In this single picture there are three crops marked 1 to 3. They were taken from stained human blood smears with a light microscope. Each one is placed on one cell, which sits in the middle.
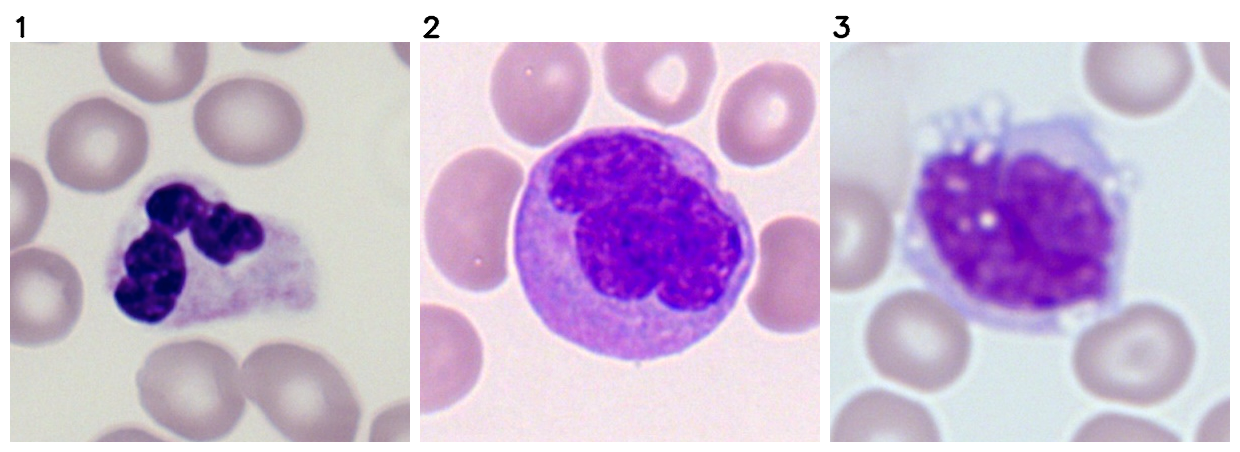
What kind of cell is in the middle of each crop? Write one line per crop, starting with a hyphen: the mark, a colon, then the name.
- 1: neutrophil
- 2: monocyte
- 3: monocyte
